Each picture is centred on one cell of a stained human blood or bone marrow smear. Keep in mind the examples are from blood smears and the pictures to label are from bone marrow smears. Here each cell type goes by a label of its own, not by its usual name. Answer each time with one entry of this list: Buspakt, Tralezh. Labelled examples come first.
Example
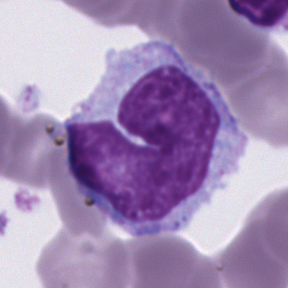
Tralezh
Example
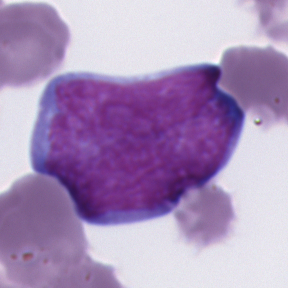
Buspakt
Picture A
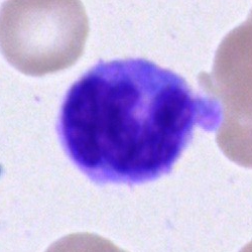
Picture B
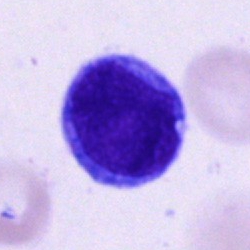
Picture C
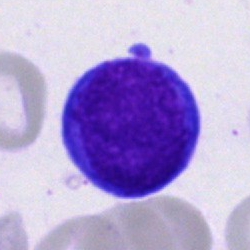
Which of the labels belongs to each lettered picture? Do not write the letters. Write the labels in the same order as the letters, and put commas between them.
Tralezh, Tralezh, Buspakt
